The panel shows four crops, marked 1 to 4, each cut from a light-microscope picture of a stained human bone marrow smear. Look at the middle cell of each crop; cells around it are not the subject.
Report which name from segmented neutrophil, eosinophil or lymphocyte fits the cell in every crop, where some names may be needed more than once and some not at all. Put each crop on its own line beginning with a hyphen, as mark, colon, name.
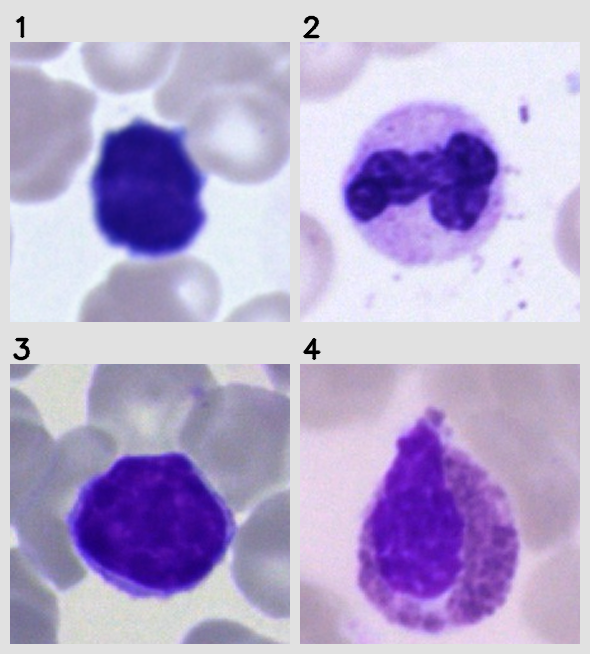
- 1: lymphocyte
- 2: segmented neutrophil
- 3: lymphocyte
- 4: eosinophil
